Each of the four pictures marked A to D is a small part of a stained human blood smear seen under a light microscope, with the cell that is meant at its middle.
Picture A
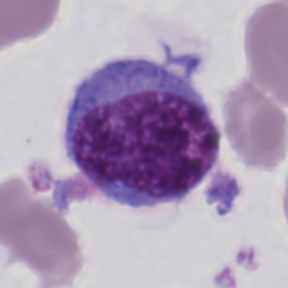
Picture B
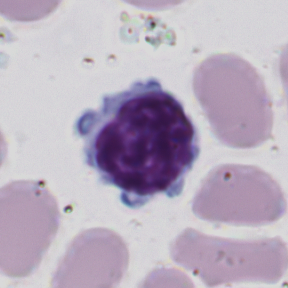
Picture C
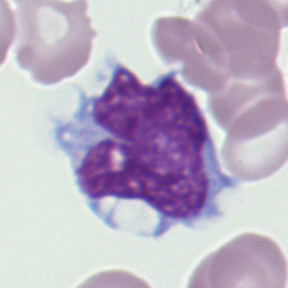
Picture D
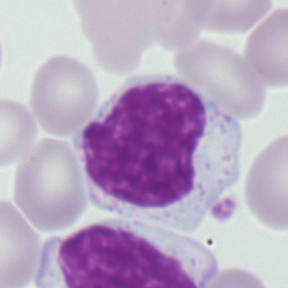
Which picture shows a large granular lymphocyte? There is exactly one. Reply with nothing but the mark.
D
